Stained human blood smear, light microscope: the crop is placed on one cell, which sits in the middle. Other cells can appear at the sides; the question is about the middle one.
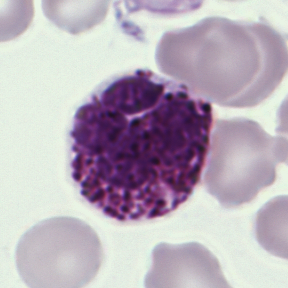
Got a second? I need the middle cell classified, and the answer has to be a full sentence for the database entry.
The central cell shown in this smear crop is a basophil.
